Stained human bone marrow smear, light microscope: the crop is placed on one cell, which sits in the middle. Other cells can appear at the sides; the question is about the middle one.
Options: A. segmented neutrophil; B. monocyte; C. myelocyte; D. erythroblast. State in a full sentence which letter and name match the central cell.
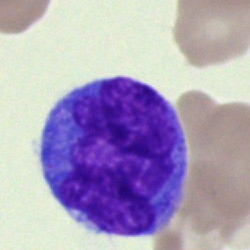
The cell positioned centrally is a monocyte, as given in option B, which is correct.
